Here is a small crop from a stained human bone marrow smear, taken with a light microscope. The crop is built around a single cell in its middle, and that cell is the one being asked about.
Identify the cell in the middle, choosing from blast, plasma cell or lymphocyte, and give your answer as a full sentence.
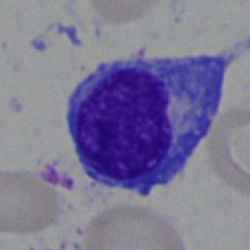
Regarding the central cell, it is a plasma cell.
